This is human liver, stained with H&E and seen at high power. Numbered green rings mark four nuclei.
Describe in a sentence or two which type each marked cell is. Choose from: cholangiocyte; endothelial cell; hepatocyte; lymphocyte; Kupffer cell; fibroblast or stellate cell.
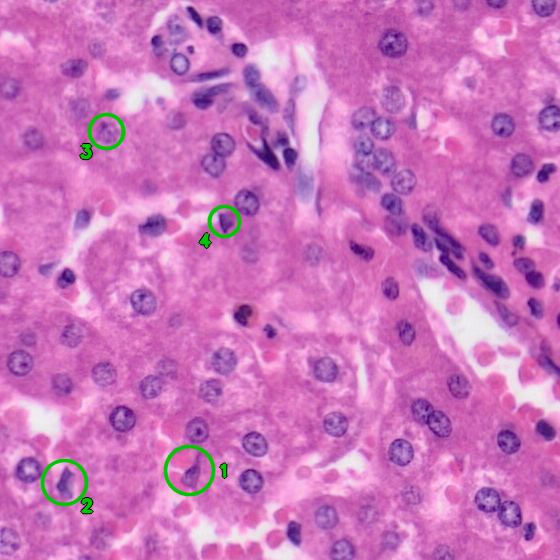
Cell 1 is an endothelial cell, cell 2 is an endothelial cell, cell 3 is a hepatocyte and cell 4 is a fibroblast or stellate cell.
